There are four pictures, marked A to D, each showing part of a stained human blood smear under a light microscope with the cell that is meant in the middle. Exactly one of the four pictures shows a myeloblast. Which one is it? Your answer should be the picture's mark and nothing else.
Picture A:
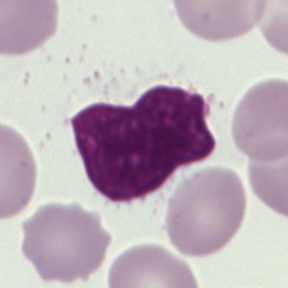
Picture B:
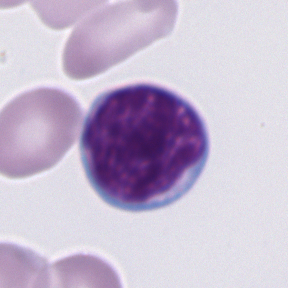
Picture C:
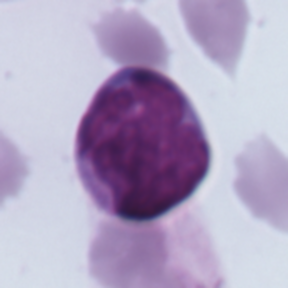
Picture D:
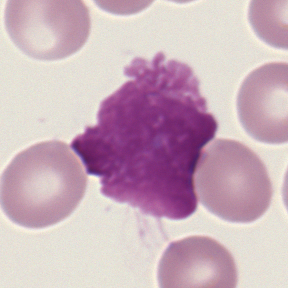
C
